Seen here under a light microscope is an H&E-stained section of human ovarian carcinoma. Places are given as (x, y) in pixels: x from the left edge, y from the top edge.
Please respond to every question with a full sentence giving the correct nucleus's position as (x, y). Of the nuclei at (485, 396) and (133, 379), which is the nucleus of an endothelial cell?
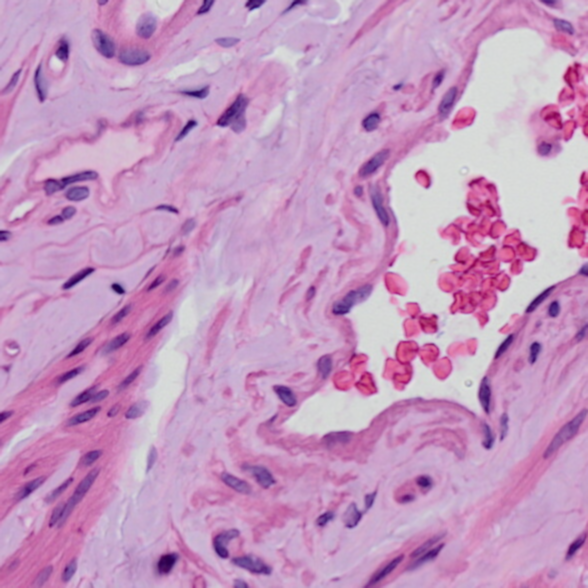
It is at (485, 396) that the nucleus of an endothelial cell is found.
